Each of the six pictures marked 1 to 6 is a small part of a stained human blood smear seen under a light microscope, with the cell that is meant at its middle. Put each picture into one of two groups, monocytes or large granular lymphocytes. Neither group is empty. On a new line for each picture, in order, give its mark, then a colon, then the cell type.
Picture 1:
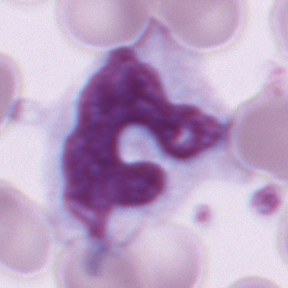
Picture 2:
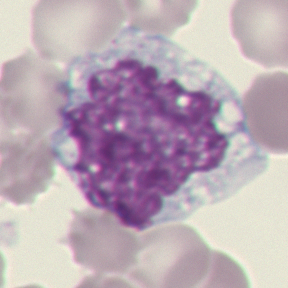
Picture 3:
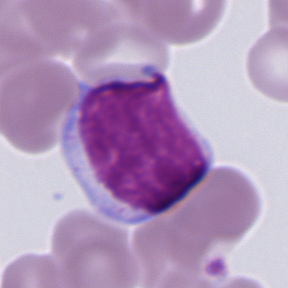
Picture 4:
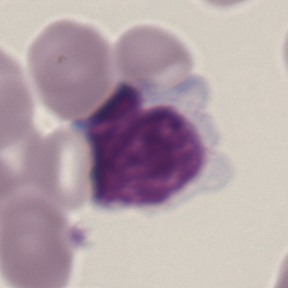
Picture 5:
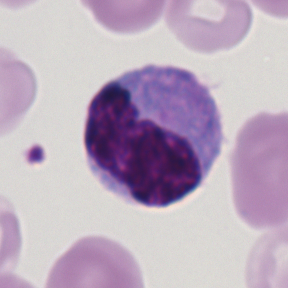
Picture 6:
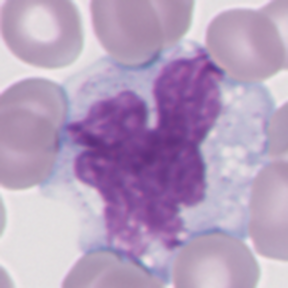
1: monocyte
2: monocyte
3: large granular lymphocyte
4: large granular lymphocyte
5: monocyte
6: monocyte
